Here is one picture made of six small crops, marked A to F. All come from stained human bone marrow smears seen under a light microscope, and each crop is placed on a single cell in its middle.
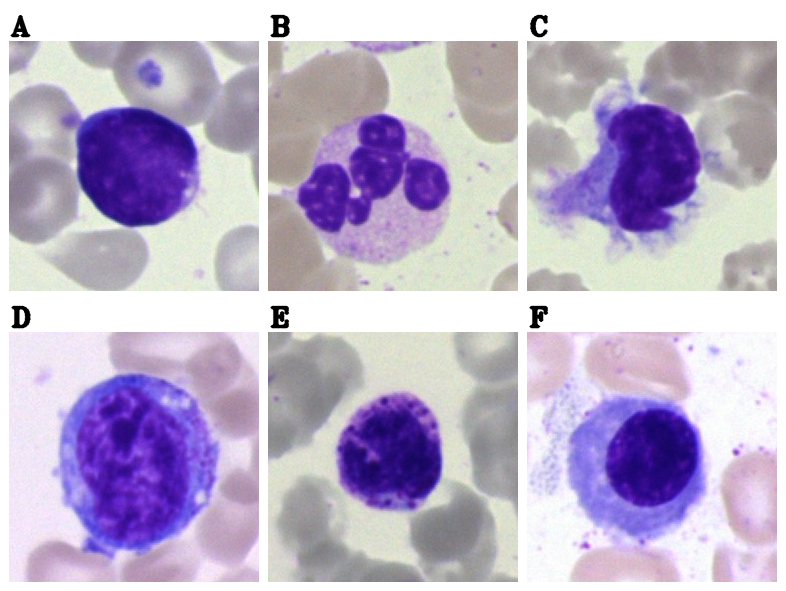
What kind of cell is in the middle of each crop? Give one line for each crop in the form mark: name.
A: blast
B: neutrophil
C: hairy cell
D: promyelocyte
E: basophil
F: normoblast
